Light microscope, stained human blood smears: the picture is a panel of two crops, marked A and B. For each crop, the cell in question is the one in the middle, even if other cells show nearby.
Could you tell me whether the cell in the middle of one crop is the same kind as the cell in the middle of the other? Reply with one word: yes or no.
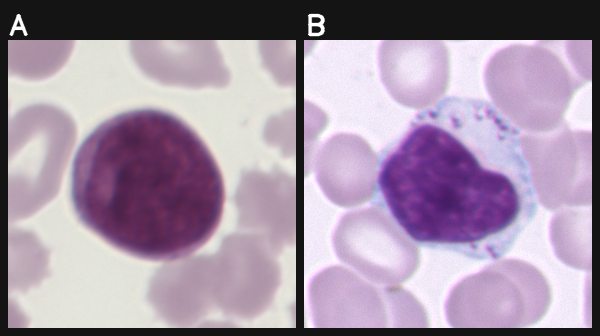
no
